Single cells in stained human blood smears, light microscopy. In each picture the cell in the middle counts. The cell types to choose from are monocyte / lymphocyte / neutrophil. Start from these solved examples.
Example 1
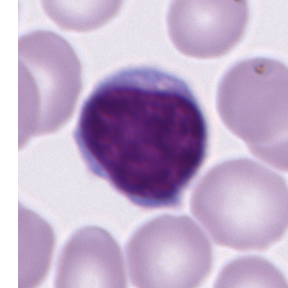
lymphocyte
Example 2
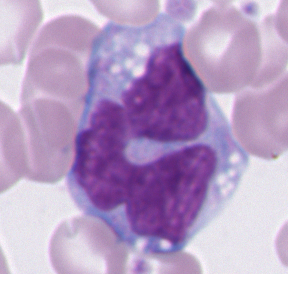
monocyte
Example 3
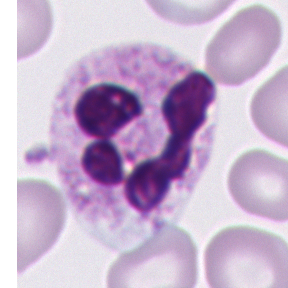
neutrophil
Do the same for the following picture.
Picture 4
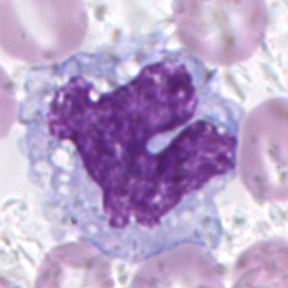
monocyte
